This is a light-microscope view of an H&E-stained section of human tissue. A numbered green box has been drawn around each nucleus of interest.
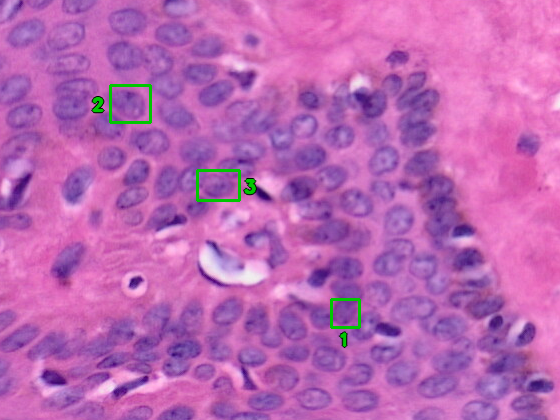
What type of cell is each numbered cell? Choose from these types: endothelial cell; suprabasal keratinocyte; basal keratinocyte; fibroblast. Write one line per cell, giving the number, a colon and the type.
1: basal keratinocyte
2: suprabasal keratinocyte
3: basal keratinocyte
